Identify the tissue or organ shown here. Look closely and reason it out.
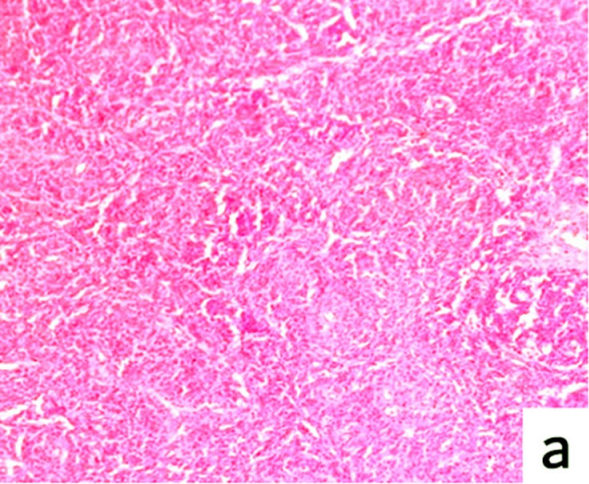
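Spleen. Densely cellular tissue without glands or epithelium. Rounded, paler nodular areas set in a redder, sinus-rich surrounding tissue.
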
